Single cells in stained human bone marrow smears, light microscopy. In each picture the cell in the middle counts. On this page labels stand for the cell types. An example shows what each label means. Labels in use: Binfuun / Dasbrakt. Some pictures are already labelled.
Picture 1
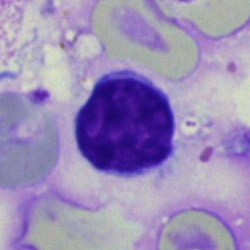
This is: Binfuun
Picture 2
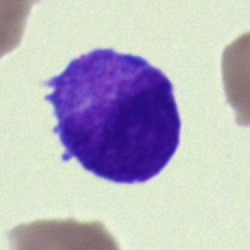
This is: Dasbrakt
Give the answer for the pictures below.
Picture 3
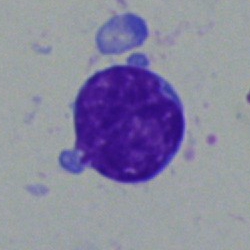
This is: Binfuun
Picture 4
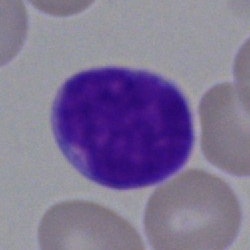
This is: Dasbrakt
